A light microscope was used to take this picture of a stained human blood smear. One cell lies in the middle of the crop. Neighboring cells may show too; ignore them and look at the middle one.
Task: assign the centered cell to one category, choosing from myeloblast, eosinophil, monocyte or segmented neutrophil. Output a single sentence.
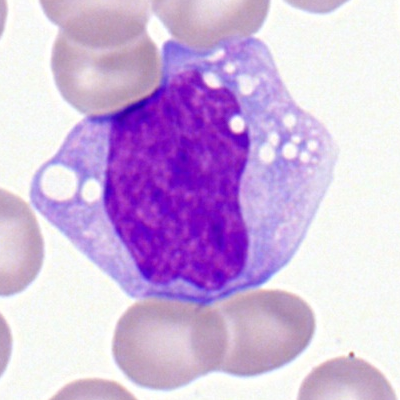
The cell occupying the middle of the crop is a monocyte.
